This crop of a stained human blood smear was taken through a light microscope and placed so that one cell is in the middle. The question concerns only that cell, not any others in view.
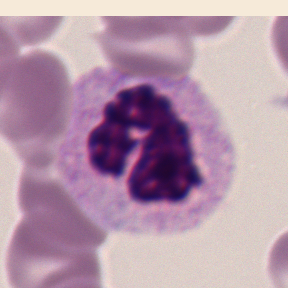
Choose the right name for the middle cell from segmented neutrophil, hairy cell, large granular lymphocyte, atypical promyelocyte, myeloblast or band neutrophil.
segmented neutrophil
